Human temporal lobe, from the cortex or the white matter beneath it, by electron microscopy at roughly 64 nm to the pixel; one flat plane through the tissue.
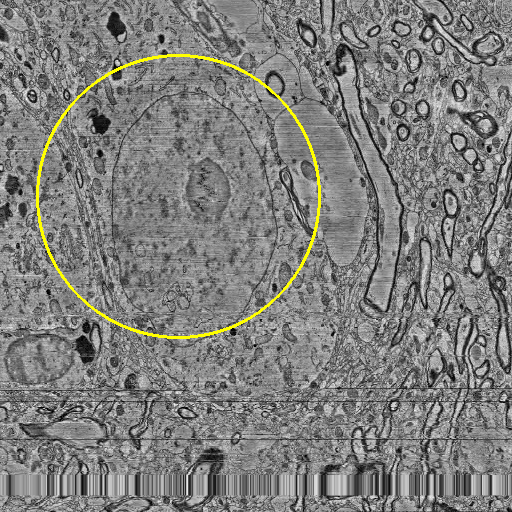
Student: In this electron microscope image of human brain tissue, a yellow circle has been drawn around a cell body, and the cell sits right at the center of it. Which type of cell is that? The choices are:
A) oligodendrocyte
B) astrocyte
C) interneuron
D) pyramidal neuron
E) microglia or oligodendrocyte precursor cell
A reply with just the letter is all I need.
D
